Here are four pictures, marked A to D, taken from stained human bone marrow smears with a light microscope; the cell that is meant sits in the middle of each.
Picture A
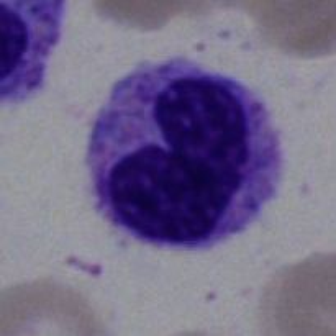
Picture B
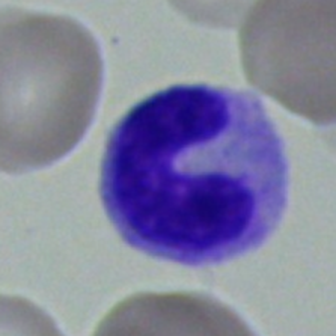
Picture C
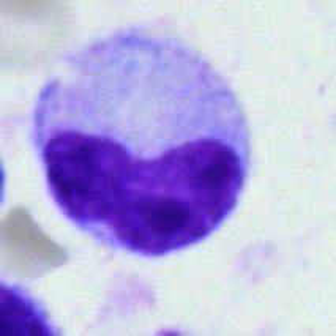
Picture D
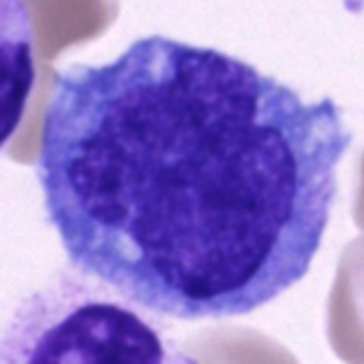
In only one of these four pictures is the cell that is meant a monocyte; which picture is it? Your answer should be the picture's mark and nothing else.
D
